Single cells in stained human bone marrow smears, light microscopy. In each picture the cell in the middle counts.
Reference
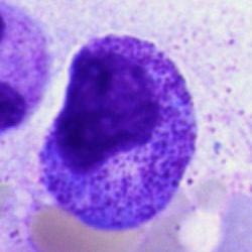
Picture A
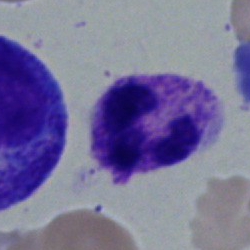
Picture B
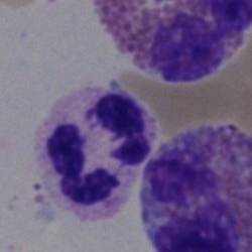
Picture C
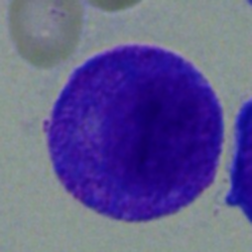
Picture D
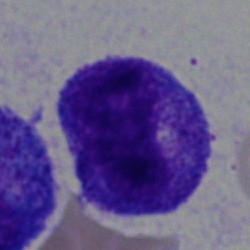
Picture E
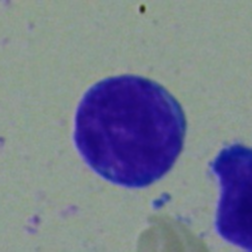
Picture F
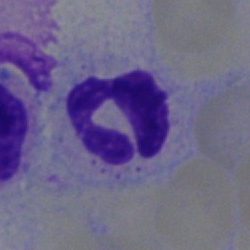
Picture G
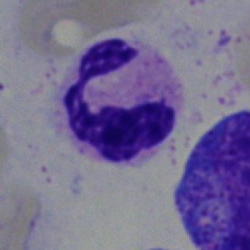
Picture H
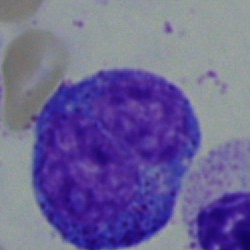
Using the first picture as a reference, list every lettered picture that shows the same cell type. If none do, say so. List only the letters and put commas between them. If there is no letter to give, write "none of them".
C, D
